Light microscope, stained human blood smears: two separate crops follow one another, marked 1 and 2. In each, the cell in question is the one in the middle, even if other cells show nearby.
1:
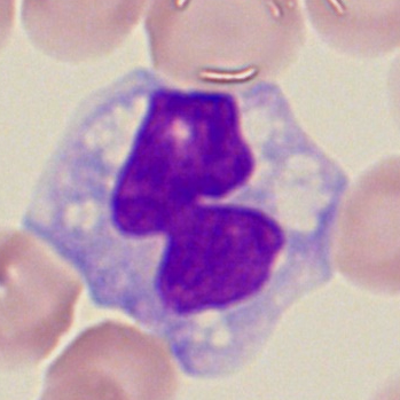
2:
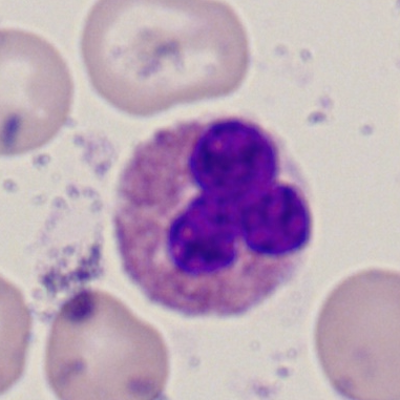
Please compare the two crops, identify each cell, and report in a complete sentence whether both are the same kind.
No, crop 1 shows a monocyte, and the cell in crop 2 is an eosinophil.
